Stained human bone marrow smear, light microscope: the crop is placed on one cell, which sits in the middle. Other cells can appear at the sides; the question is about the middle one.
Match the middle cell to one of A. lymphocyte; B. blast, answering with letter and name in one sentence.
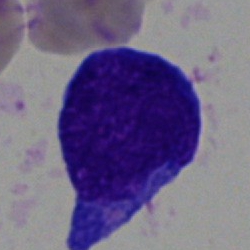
The cell in the middle is correctly identified as a blast in option B.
